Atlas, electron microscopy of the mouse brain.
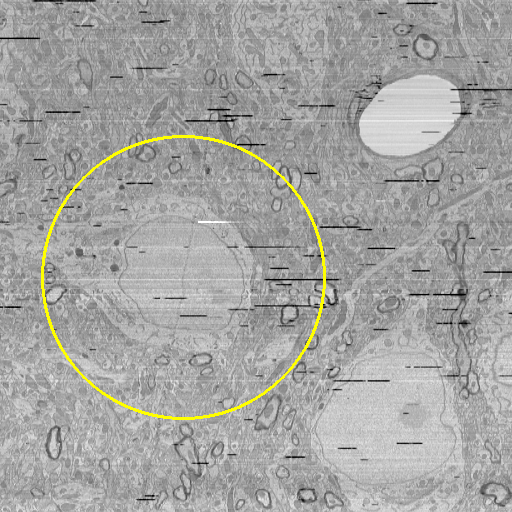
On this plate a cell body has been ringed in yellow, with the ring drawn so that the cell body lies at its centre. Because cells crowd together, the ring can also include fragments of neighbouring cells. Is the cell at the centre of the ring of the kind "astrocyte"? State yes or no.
No, it is of another kind.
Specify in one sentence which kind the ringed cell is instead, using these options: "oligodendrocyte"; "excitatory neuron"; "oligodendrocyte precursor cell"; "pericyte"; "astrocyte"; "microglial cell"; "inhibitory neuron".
Instead, the cell inside the ring is an excitatory neuron.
